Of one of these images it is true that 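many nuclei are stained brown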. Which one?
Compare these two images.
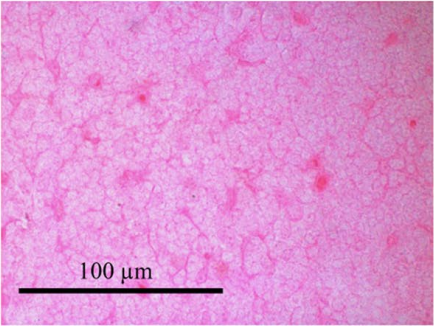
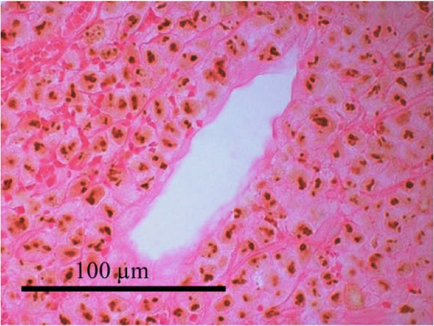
The second image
